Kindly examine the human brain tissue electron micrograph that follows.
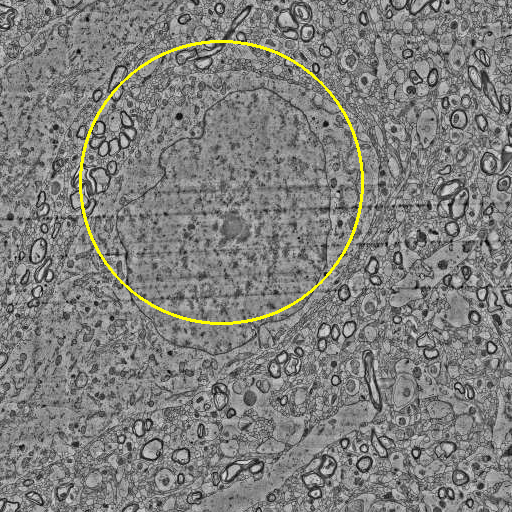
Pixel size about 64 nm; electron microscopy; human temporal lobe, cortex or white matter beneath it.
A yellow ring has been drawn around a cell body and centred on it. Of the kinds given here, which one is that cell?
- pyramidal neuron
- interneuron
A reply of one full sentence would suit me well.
The micrograph's ringed cell, the one at the ring's centre, is a pyramidal neuron.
